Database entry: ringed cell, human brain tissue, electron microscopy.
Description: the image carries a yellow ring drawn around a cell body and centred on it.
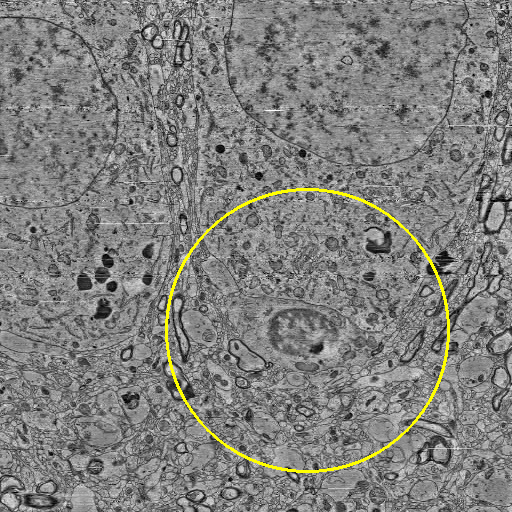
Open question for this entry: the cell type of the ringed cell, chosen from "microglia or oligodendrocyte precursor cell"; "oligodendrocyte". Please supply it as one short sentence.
The ringed cell is an oligodendrocyte.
